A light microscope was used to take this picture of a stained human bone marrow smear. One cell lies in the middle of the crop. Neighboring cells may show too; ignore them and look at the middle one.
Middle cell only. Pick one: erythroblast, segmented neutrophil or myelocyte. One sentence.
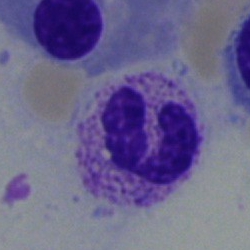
The cell under consideration, at the middle of the crop, is a segmented neutrophil.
